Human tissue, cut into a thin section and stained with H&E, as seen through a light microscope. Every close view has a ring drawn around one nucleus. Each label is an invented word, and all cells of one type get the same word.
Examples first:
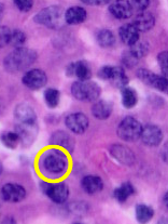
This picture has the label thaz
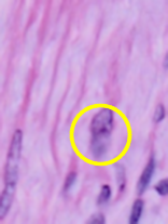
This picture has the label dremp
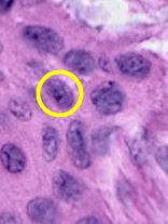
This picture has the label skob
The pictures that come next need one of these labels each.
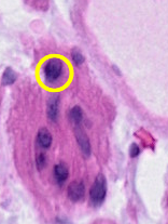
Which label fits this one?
dremp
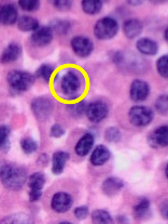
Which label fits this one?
thaz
